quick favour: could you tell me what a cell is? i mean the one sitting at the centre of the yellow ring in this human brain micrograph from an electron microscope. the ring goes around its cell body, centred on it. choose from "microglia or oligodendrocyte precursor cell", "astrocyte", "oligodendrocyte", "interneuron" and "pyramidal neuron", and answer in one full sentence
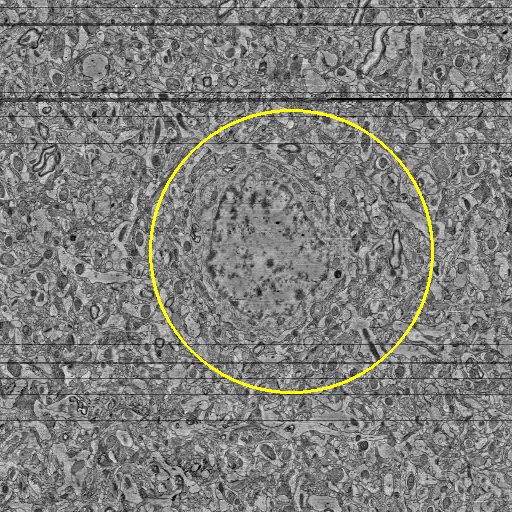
That's an interneuron, the cell sitting at the centre of the yellow ring.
